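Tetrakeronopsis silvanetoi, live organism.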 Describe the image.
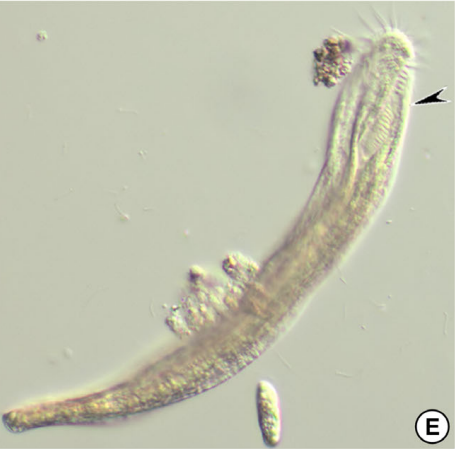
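The anterior end is rounded and bears a fringe of projecting cilia, and along the anterior left margin runs a row of closely set transverse lamellae forming the adoral zone. The body tapers gradually toward a narrow, slightly flattened posterior end. The cytoplasm appears finely granular and yellowish, and the cell is gently curved along its length. Small clumps of debris lie beside the cell.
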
